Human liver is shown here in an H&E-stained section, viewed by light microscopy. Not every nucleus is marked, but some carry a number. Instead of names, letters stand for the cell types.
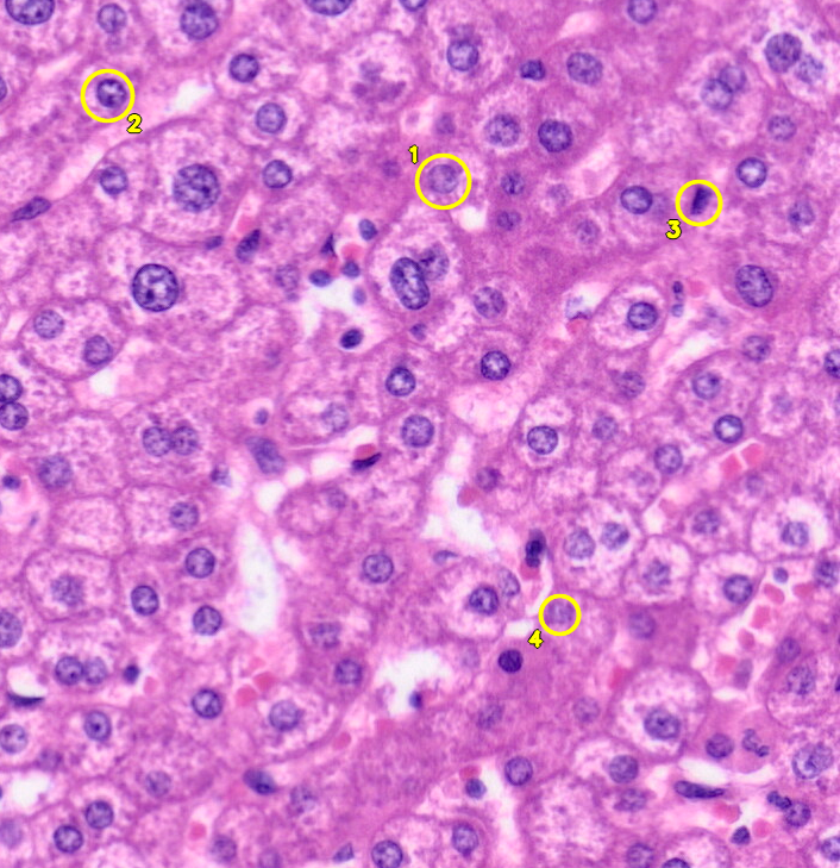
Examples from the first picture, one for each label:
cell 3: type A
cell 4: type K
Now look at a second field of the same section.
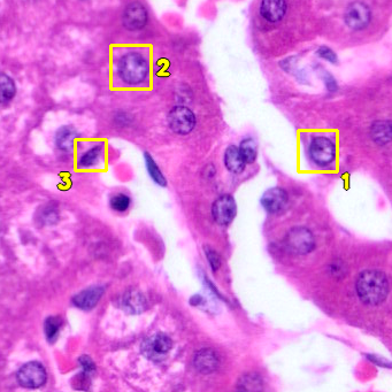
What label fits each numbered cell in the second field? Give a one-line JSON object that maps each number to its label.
{"1": "type K", "2": "type K", "3": "type A"}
